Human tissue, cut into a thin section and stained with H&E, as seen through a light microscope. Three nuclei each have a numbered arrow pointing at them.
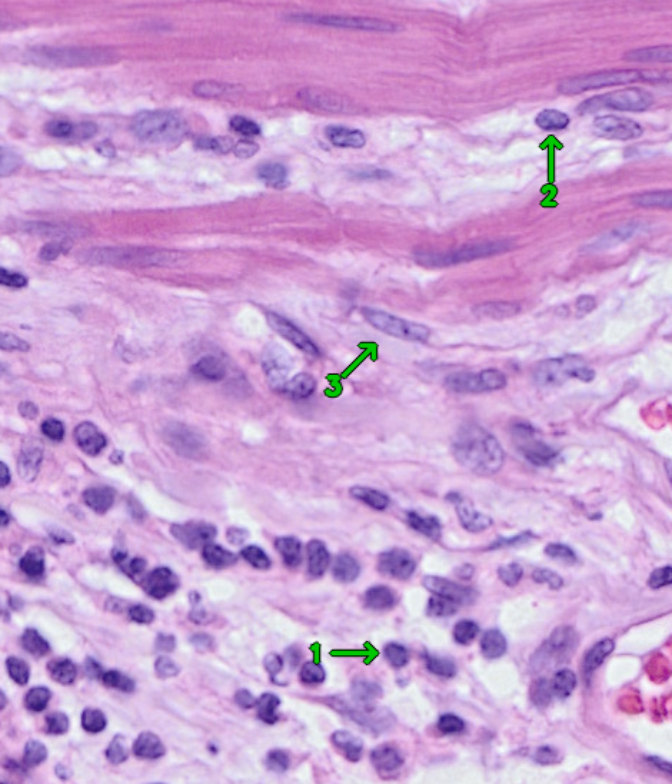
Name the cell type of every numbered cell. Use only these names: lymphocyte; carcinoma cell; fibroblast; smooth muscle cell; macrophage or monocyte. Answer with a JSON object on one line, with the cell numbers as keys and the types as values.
{"1": "lymphocyte", "2": "lymphocyte", "3": "fibroblast"}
